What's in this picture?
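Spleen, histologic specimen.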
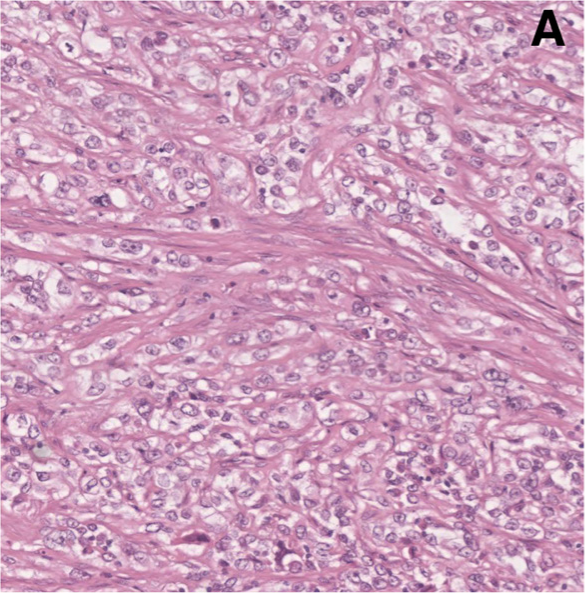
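Large polygonal cells lie packed in solid nests and branching cords, separated by pink bands of fibrous stroma. Their nuclei are round to oval, vesicular, with small nucleoli, and vary somewhat in size. The cytoplasm is ample and pale, in places clear. These are atypical epithelial-looking cells that have replaced the splenic tissue in this field.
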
